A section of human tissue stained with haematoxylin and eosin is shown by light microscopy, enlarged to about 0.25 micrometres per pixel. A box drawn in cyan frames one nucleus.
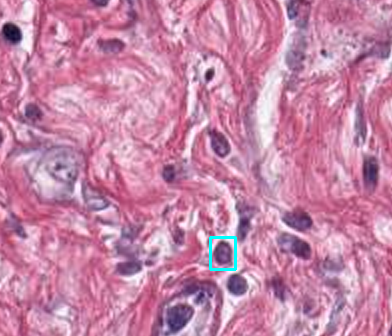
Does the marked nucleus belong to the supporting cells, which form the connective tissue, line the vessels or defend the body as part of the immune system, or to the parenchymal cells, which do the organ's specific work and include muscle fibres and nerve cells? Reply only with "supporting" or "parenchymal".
supporting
